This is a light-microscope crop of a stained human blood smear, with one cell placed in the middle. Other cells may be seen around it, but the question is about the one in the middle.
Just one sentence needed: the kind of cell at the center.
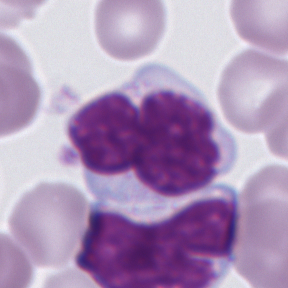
Occupying the centre of the crop is a large granular lymphocyte.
